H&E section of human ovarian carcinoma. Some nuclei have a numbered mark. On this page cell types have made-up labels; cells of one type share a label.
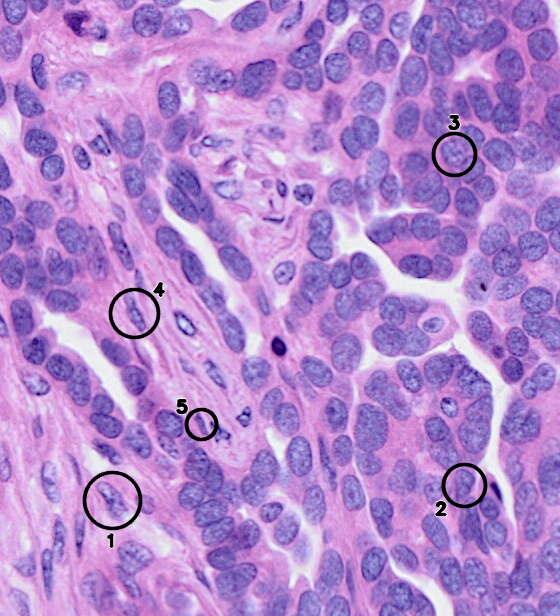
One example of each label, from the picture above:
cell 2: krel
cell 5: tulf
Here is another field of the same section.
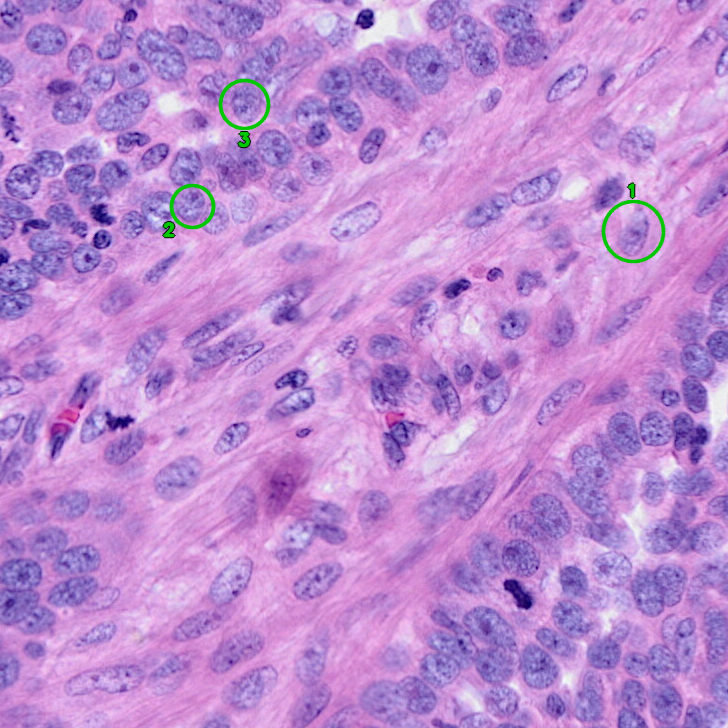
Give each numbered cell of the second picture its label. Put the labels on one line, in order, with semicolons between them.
tulf; krel; krel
